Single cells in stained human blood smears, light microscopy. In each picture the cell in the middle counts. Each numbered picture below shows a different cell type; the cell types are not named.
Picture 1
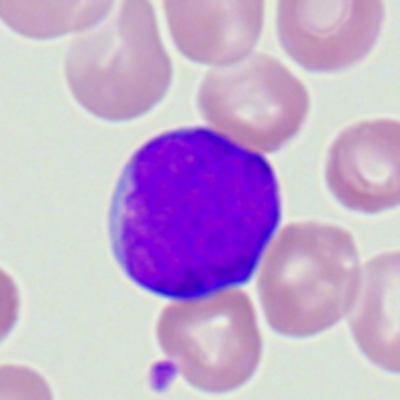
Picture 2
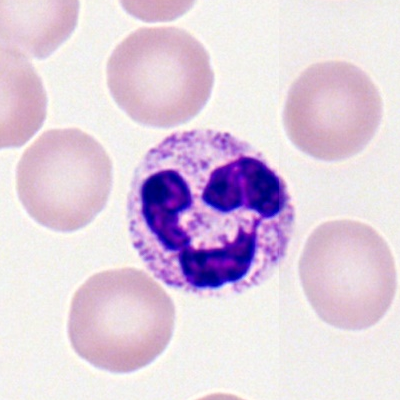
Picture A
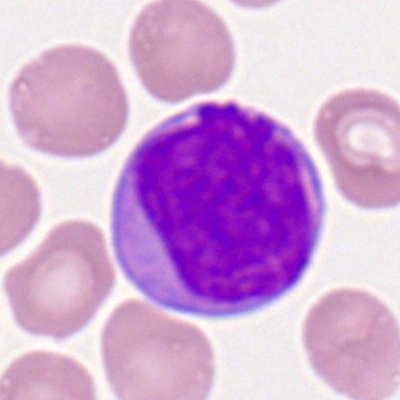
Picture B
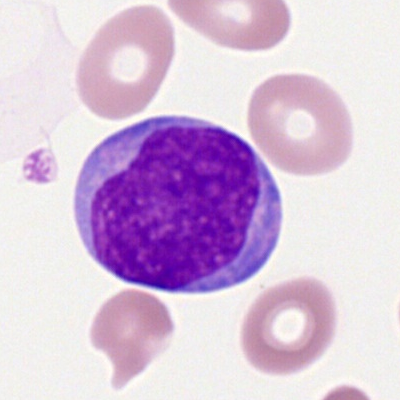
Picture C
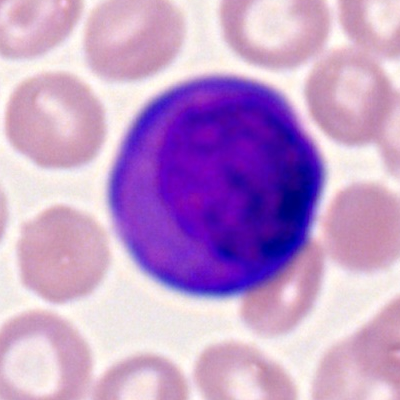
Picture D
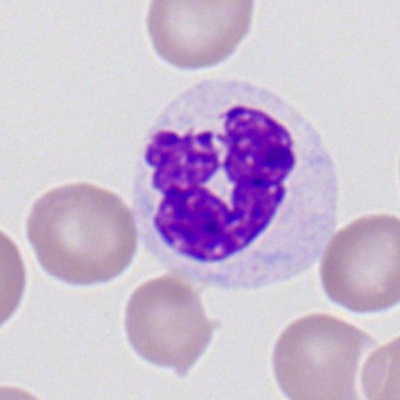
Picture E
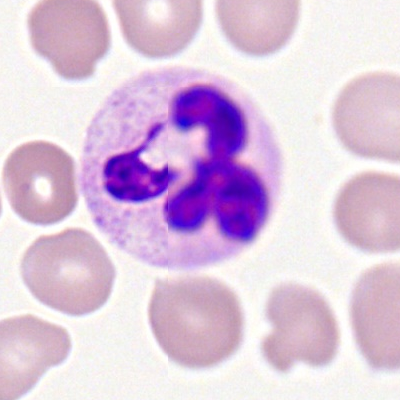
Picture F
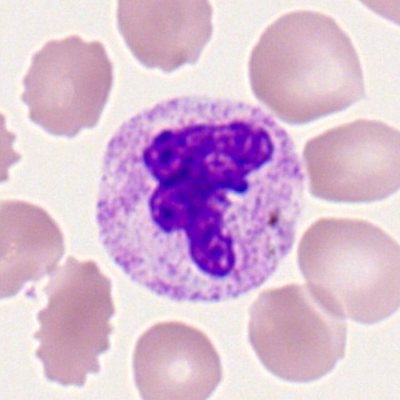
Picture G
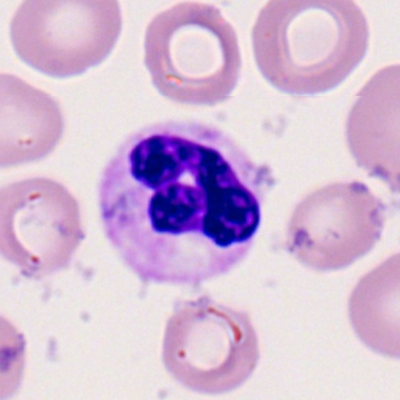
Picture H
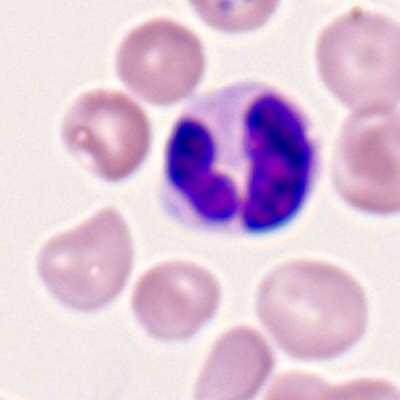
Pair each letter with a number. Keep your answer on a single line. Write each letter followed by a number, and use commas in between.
A 1, B 1, C 1, D 2, E 2, F 2, G 2, H 2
